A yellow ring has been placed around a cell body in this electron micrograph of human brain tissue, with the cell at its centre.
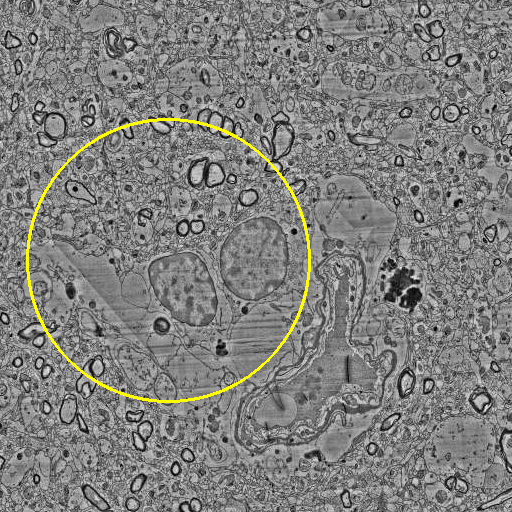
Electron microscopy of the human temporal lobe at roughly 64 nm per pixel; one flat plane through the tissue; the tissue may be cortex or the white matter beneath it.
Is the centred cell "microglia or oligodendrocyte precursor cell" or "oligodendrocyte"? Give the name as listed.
microglia or oligodendrocyte precursor cell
